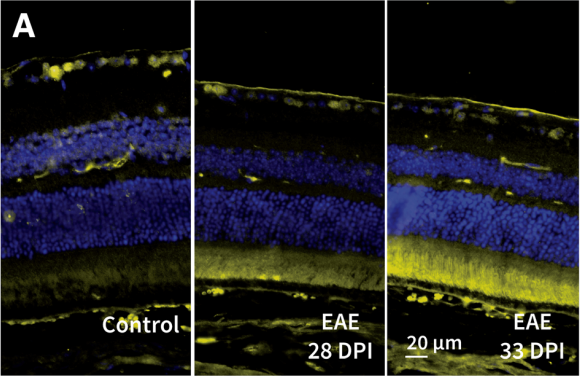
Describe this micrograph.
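Three side-by-side cross-sections of retina show blue nuclei arranged in layers: a sparse row at the inner edge, a thinner packed band, and a thicker packed band of small round nuclei. Yellow marks scattered cell bodies in the sparse inner row, more numerous in the left section than in the other two. A broad yellow band without nuclei lies beyond the thick nuclear band and is brighter in the right sections.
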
